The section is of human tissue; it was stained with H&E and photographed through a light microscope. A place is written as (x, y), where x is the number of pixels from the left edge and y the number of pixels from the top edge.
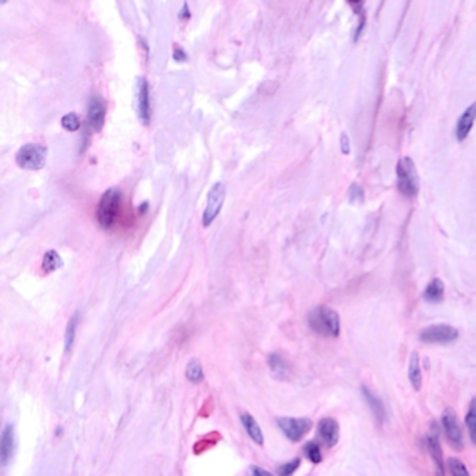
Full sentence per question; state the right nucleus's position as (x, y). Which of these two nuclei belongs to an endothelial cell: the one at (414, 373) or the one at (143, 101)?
It is the nucleus at (143, 101) that belongs to an endothelial cell.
